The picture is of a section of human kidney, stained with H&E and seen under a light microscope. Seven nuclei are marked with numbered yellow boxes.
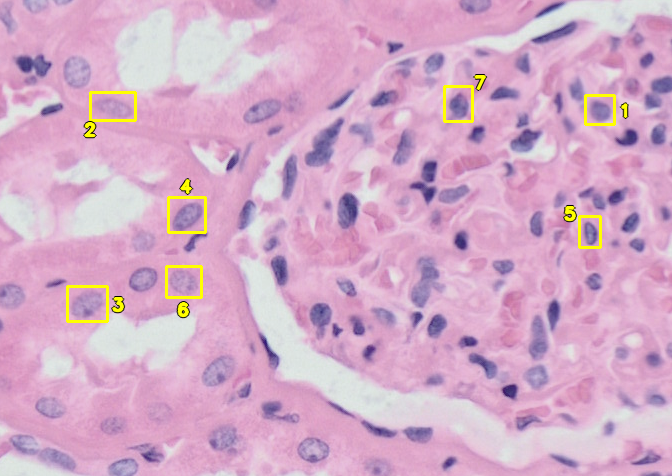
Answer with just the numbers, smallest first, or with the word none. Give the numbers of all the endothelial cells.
1, 5, 7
